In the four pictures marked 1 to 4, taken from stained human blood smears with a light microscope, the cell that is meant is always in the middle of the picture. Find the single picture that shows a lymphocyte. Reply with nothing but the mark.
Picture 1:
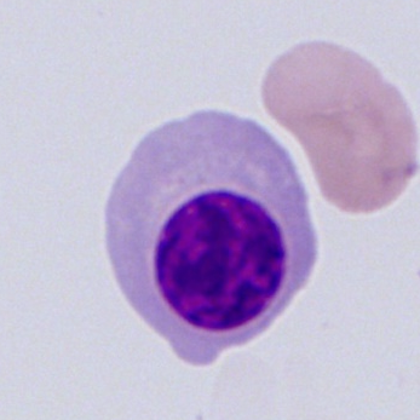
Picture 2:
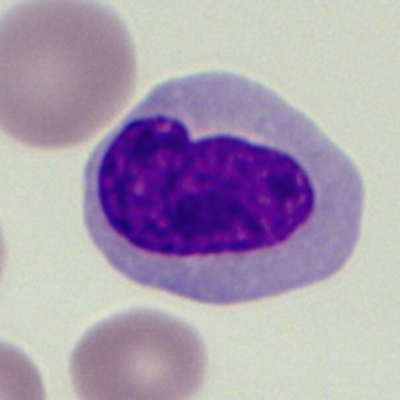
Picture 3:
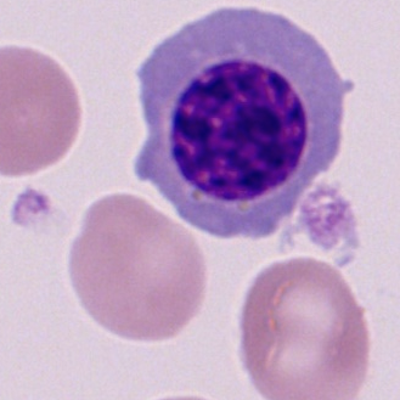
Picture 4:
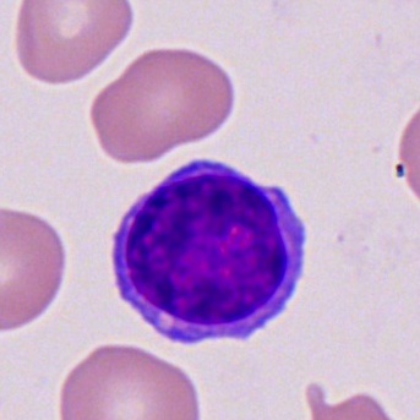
4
